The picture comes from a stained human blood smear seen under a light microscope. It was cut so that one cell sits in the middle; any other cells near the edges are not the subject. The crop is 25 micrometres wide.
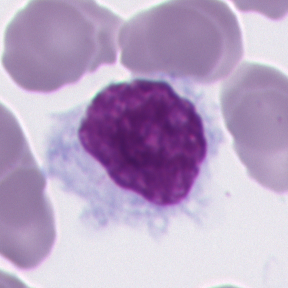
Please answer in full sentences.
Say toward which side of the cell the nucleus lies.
The nucleus sits off-centre, toward the upper right.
